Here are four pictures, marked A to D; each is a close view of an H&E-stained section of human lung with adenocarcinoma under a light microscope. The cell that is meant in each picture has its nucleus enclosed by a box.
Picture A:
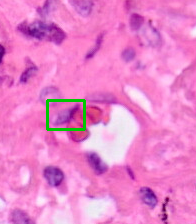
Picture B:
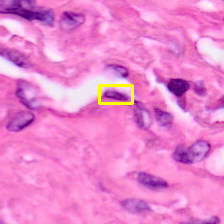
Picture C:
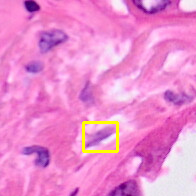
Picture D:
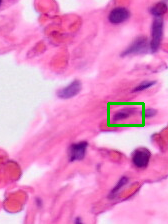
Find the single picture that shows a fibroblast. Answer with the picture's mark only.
C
